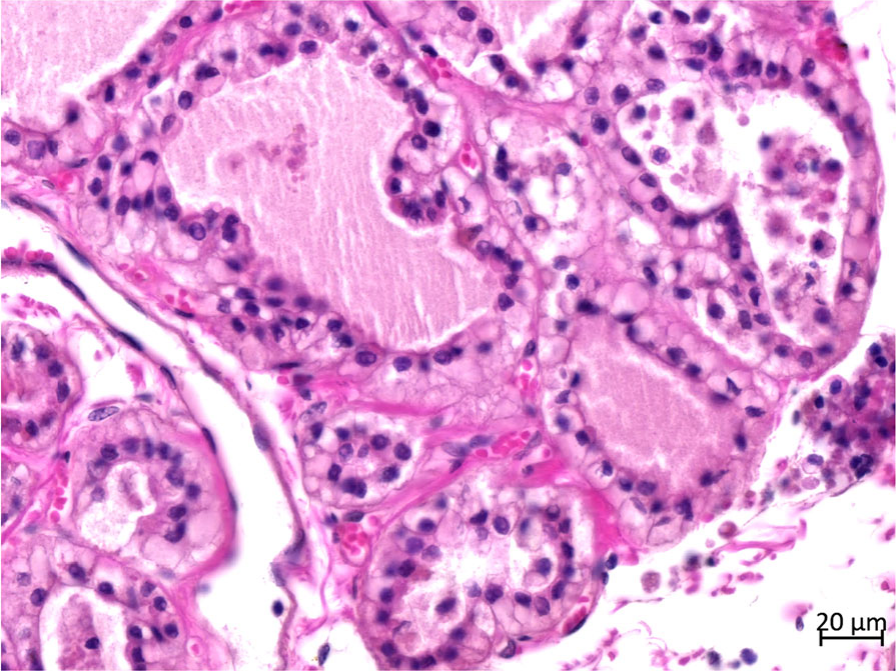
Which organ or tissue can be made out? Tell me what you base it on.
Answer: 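Round to irregular follicles are lined by epithelial cells. Several follicle lumina are filled with homogeneous pink material with fine cracks. Thin pink septa with red blood cells lie between the follicles.
Hence: thyroid follicles.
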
